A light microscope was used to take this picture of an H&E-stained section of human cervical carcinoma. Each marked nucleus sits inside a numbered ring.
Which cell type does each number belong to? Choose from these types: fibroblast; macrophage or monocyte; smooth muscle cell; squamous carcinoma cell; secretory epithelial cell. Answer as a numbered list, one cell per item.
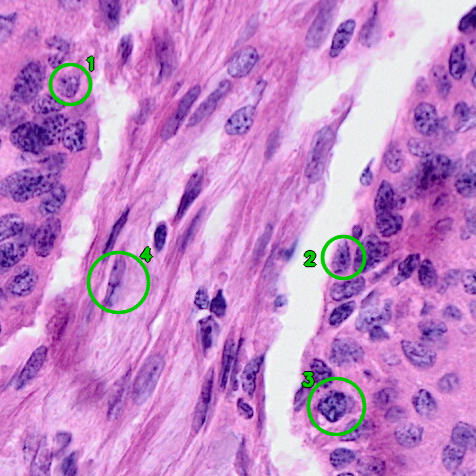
1. squamous carcinoma cell
2. squamous carcinoma cell
3. squamous carcinoma cell
4. fibroblast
